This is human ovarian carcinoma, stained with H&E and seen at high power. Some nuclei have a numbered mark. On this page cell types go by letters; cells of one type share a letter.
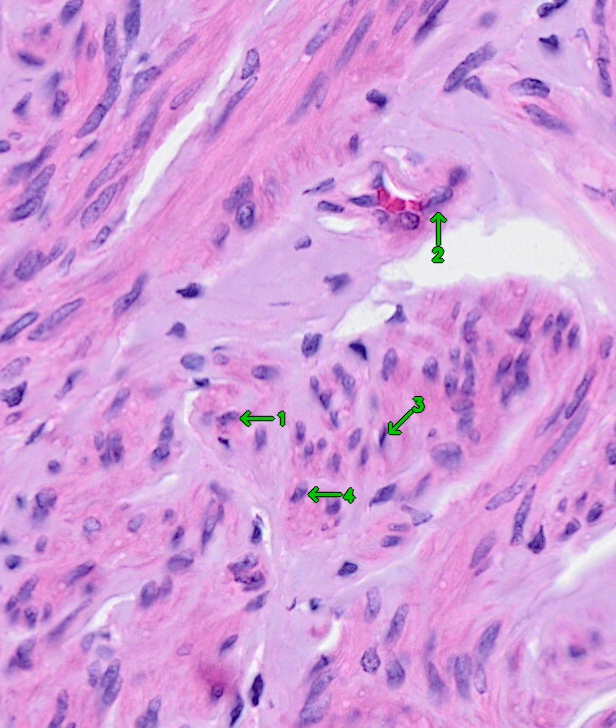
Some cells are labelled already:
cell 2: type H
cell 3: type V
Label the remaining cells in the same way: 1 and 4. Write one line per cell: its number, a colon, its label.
1: type V
4: type V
